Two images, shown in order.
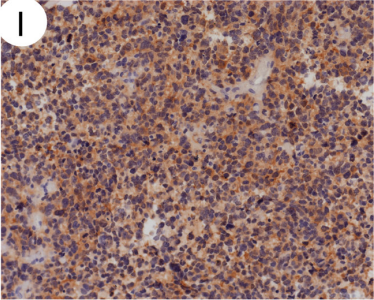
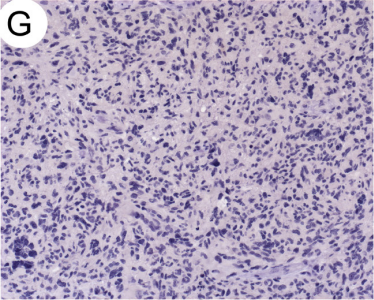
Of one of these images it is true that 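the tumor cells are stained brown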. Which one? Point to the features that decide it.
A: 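First image: dense cells with strong brown staining throughout. Second image: crowded blue nuclei with no brown stain.
Hence: the first image.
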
